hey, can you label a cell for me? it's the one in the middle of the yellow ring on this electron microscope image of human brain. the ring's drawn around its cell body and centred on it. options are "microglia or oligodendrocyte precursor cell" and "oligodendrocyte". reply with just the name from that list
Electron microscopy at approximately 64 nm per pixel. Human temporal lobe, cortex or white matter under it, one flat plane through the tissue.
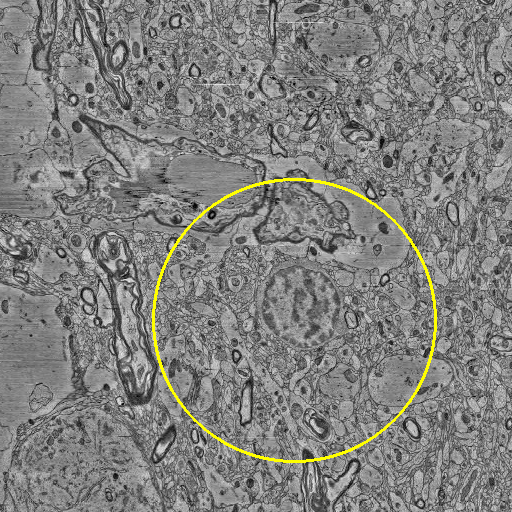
oligodendrocyte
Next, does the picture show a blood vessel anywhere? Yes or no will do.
Yes, one shows.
